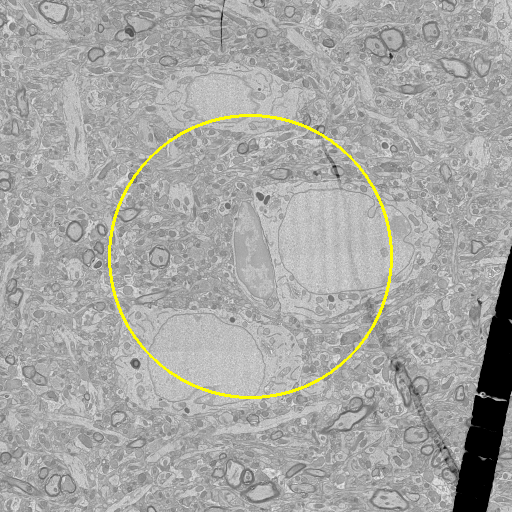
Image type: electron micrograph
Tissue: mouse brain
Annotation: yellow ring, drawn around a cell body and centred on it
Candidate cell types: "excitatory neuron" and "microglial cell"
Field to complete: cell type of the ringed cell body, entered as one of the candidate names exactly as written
microglial cell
